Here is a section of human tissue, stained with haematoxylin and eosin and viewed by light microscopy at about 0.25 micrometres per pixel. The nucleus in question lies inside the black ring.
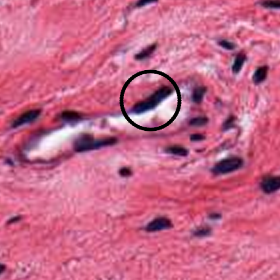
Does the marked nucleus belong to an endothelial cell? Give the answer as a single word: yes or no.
yes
